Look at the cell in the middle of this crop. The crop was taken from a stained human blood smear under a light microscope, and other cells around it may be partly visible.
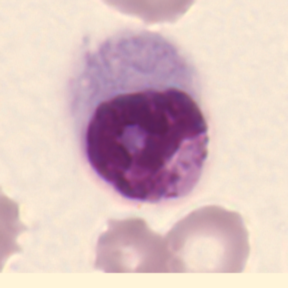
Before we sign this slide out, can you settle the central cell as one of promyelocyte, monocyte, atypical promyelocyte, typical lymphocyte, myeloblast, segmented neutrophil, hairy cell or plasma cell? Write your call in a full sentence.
At the middle of the frame sits a plasma cell.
